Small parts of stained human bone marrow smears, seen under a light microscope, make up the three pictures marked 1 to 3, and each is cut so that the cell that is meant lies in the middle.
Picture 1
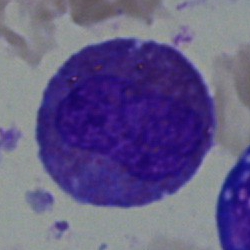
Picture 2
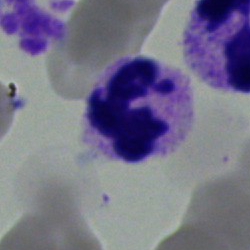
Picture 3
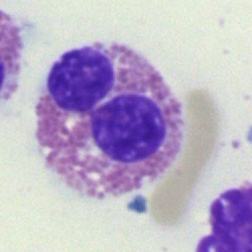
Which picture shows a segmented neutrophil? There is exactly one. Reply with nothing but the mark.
2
